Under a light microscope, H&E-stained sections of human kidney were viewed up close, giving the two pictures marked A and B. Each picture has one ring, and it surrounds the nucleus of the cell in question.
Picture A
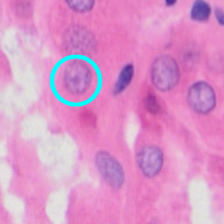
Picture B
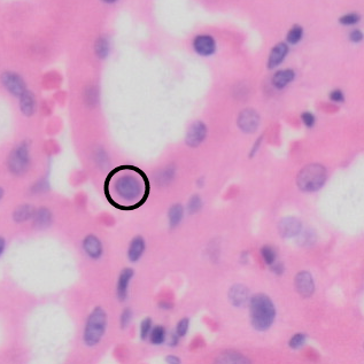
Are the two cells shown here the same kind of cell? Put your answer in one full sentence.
No; the cell in picture A is a proximal tubule cell, while the one in picture B is a collecting duct cell.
